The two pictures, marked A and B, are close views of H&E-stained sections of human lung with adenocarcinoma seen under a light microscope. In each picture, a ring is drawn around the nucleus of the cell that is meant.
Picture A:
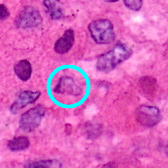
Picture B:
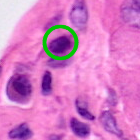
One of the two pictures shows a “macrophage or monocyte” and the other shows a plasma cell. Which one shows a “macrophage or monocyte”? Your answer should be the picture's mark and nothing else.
A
